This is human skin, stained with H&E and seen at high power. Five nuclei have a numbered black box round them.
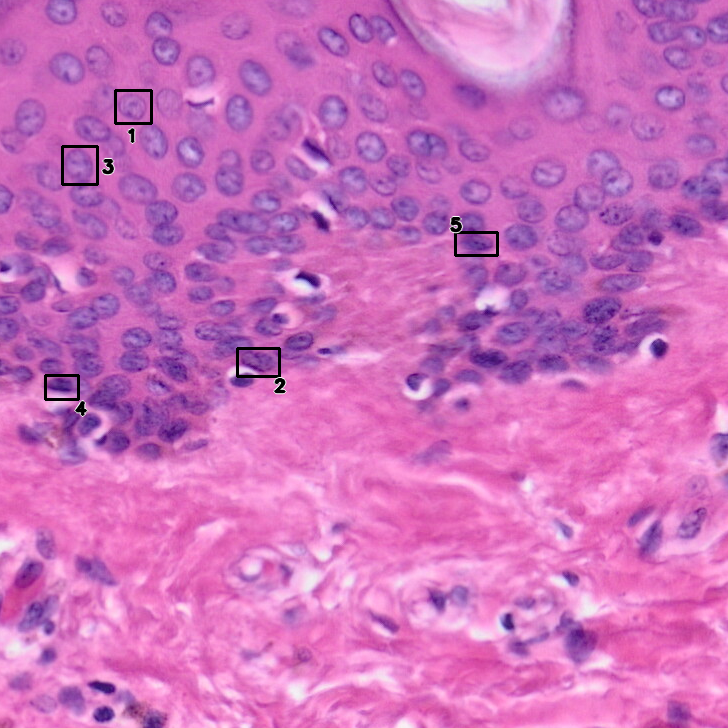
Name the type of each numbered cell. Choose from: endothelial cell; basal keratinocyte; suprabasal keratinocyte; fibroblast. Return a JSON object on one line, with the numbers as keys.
{"1": "suprabasal keratinocyte", "2": "basal keratinocyte", "3": "suprabasal keratinocyte", "4": "basal keratinocyte", "5": "basal keratinocyte"}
